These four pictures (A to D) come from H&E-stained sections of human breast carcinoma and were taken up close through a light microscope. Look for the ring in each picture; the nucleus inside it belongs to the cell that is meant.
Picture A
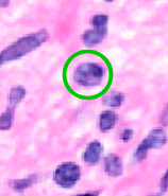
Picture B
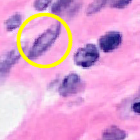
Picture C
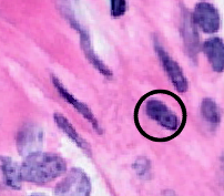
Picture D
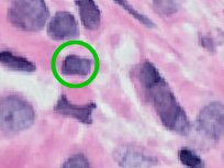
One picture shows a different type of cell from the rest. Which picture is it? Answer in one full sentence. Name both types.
The others show lymphocytes, but picture B shows an endothelial cell.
